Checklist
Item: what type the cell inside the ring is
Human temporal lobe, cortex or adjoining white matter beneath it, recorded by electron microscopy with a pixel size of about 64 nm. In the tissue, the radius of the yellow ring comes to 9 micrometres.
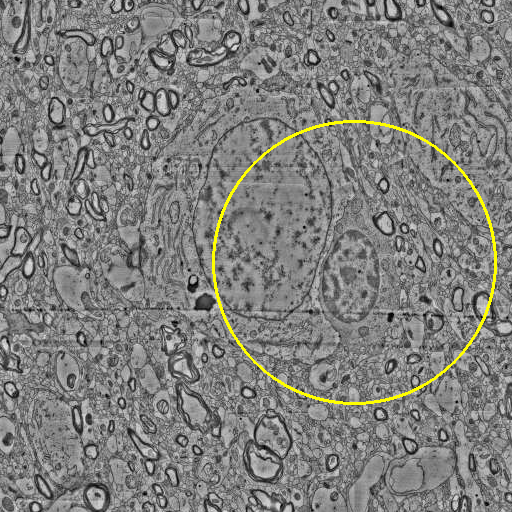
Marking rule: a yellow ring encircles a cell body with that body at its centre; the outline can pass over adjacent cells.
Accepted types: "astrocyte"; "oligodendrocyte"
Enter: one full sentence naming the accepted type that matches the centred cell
The entry is that an oligodendrocyte lies at the centre of the yellow ring.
